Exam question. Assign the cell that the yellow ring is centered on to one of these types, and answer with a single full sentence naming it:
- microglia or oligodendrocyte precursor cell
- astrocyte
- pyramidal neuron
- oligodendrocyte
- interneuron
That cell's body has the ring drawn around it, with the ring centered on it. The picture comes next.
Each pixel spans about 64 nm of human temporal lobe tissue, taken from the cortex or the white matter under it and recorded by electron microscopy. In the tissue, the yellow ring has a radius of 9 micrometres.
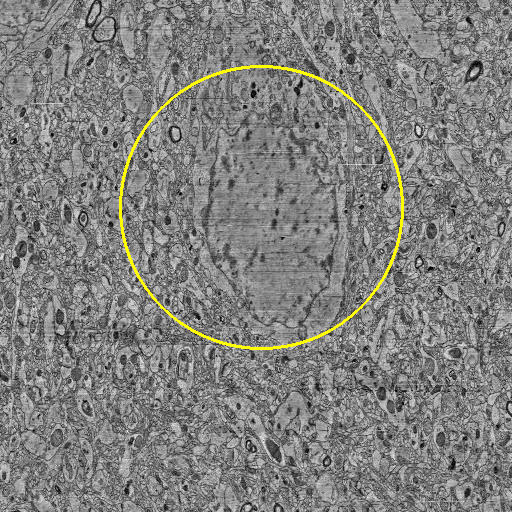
In the micrograph, the cell the yellow ring is centered on is an interneuron.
